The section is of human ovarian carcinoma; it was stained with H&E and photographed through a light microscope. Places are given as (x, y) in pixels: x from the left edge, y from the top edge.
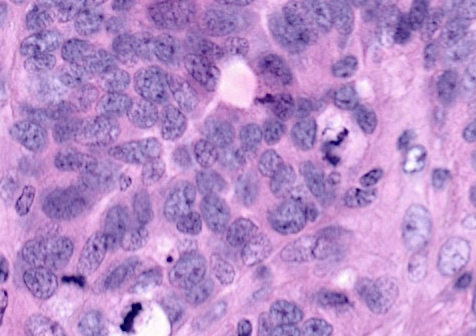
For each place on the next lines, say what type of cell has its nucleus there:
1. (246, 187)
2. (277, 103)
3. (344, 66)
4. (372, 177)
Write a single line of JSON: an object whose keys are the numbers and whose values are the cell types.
{"1": "carcinoma cell", "2": "carcinoma cell", "3": "macrophage or monocyte", "4": "lymphocyte"}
